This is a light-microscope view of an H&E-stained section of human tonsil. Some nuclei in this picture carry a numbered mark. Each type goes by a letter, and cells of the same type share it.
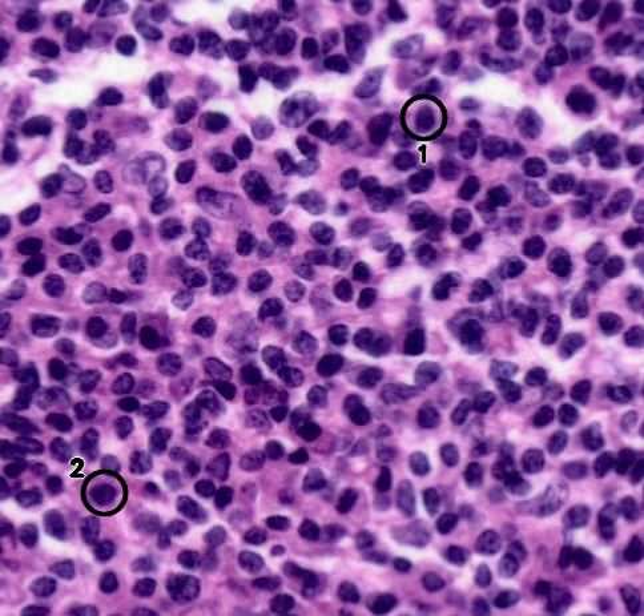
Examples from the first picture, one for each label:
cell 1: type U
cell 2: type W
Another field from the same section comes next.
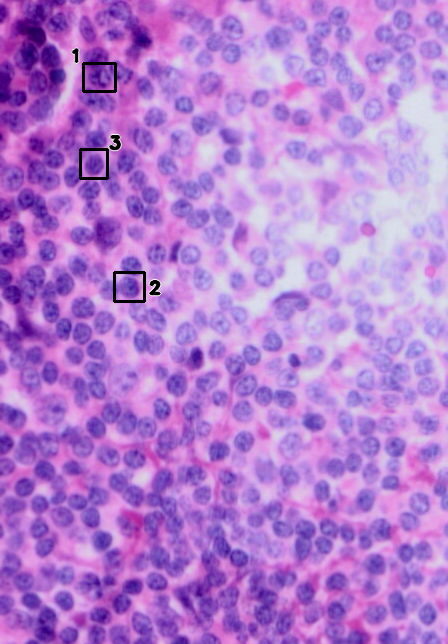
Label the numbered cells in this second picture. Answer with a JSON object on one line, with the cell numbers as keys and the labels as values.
{"1": "type W", "2": "type U", "3": "type U"}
